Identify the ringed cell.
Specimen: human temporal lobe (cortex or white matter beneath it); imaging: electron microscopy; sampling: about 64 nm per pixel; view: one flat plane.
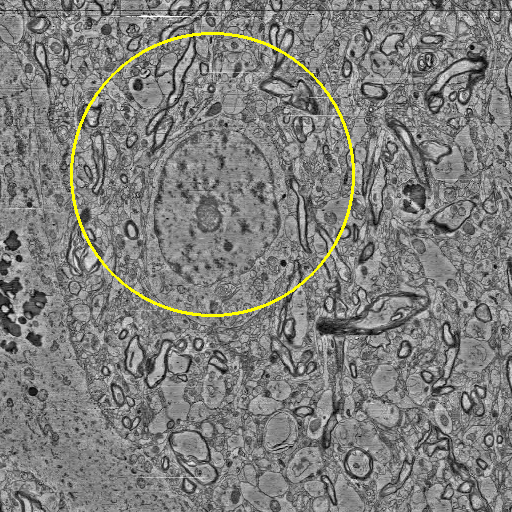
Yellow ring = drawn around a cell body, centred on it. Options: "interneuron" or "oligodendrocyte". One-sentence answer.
What the ring is centred on is an interneuron.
